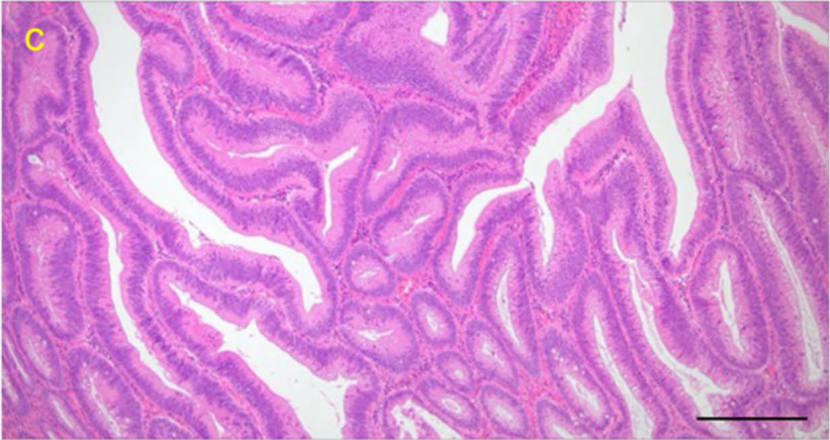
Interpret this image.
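This is a colonic glandular neoplasm, a tubulovillous adenoma, made up of long finger-like villous fronds mixed with tubular glands cut in cross-section. The fronds and glands are lined by tall columnar epithelium whose nuclei are elongated, pencil-shaped, crowded and stratified, and they stain dark purple. The cells have pink to pale purple cytoplasm, with little mucin and few goblet-like cells. Thin cores of pink fibrovascular stroma support the fronds, and white empty spaces separate them.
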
